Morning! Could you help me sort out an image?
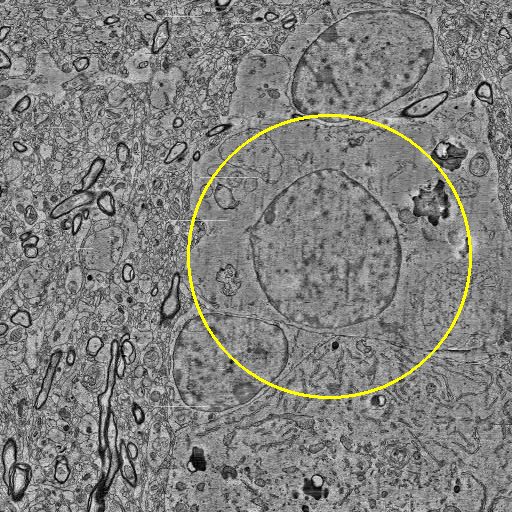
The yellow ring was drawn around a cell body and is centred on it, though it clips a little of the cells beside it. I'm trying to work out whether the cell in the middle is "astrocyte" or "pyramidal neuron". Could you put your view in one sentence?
The ringed cell body is that of an astrocyte.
